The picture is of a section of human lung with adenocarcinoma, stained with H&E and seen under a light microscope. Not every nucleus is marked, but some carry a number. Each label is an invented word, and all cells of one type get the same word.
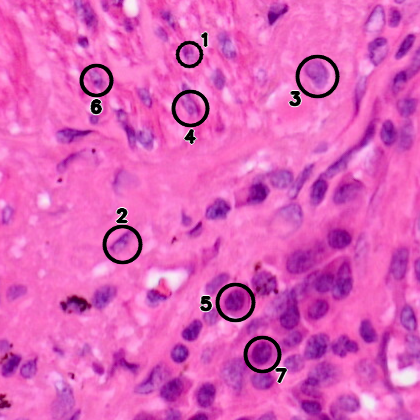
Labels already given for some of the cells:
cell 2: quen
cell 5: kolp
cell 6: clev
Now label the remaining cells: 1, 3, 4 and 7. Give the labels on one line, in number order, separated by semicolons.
clev; quen; clev; kolp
